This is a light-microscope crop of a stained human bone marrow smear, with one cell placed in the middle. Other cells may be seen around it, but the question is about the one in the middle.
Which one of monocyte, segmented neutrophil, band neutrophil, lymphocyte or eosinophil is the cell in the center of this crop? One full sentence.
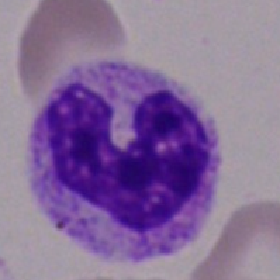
Regarding the central cell, it is a band neutrophil.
